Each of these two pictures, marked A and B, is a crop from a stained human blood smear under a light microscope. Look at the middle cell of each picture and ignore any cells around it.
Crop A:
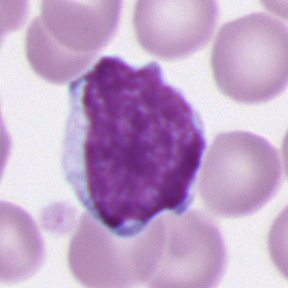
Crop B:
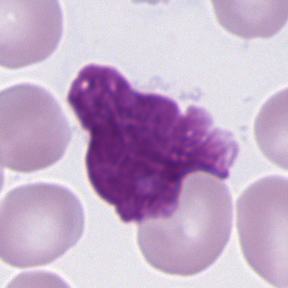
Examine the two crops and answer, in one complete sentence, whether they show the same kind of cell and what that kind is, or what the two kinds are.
No, it is crop A that shows a typical lymphocyte, and crop B shows a smudge cell.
